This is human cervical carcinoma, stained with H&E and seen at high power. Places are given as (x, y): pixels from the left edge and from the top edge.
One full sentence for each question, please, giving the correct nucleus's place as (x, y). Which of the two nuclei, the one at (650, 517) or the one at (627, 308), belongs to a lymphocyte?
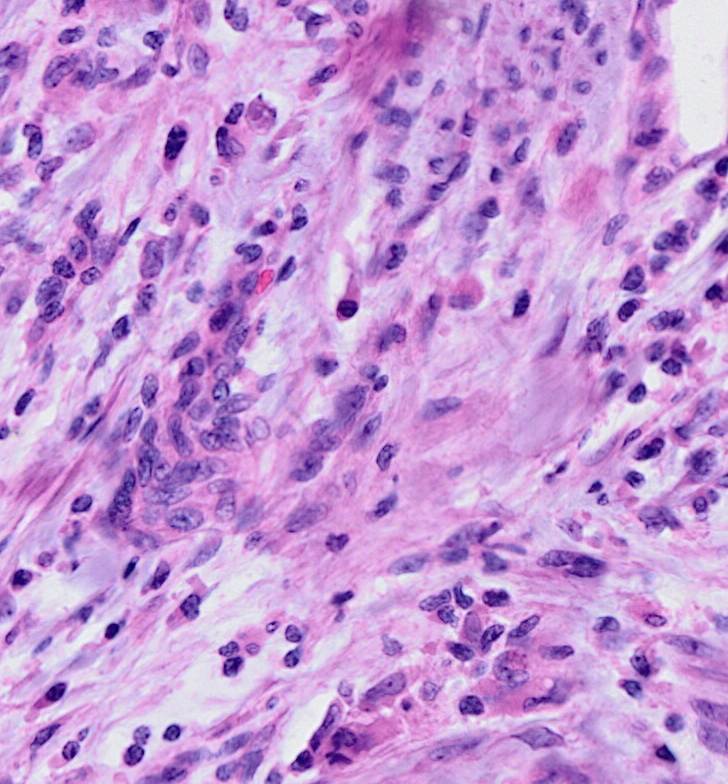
The nucleus at (627, 308) is part of a lymphocyte, while the other is not.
